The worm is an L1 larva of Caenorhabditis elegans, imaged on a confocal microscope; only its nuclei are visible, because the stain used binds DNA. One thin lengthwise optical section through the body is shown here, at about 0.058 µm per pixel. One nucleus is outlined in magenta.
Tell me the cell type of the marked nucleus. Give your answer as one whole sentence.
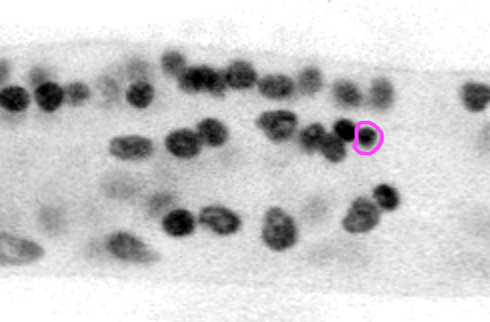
This nucleus is from a valve cell of the gut.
